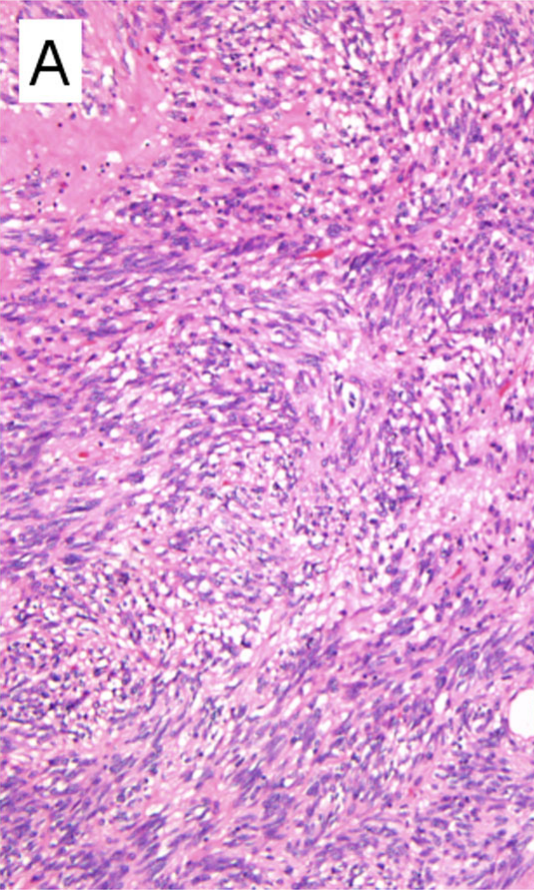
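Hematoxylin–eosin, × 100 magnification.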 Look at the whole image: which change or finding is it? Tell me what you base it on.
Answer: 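High cellularity. Nuclei crowd the field with little space between them. Only small pink acellular areas appear, at the top of the panel.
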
